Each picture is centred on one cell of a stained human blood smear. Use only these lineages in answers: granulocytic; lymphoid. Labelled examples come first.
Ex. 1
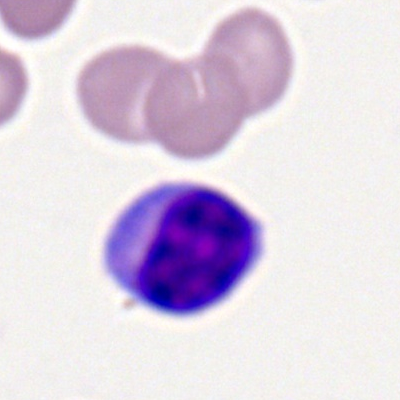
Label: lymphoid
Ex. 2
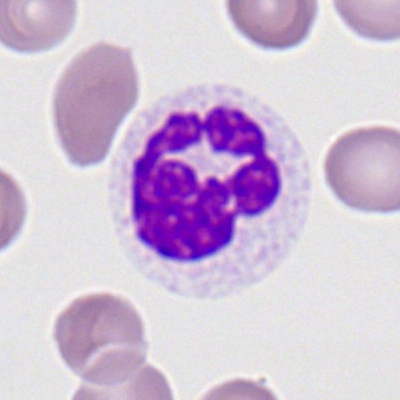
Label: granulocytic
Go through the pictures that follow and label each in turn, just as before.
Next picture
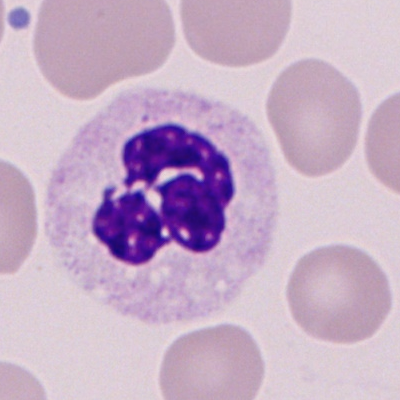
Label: granulocytic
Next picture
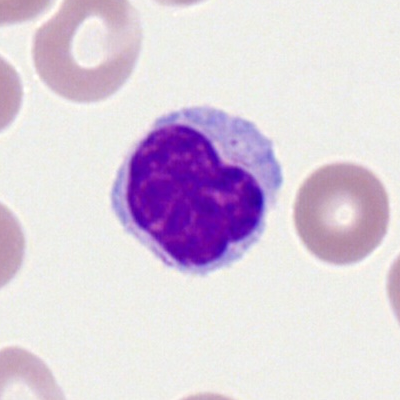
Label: lymphoid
